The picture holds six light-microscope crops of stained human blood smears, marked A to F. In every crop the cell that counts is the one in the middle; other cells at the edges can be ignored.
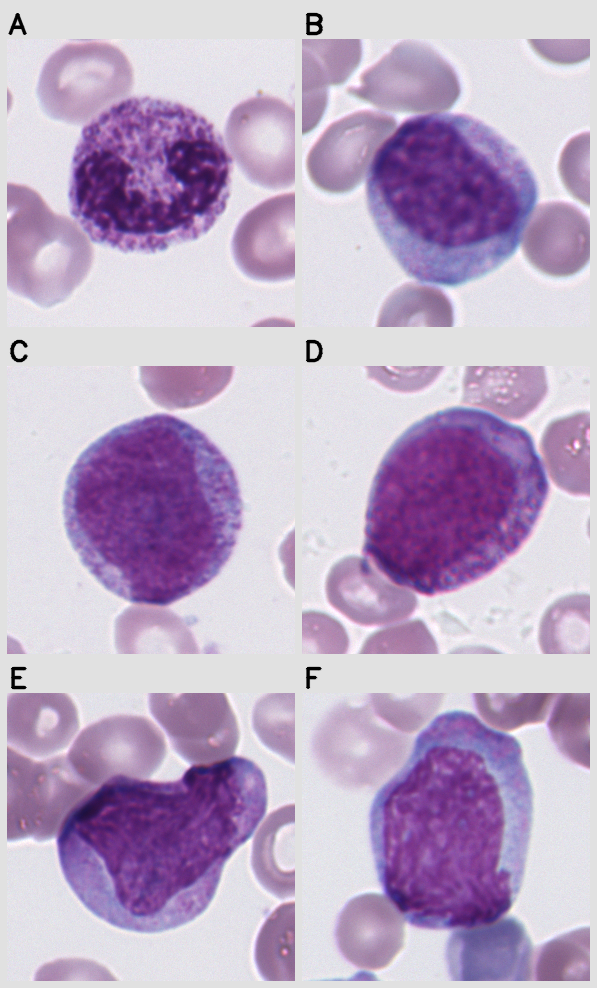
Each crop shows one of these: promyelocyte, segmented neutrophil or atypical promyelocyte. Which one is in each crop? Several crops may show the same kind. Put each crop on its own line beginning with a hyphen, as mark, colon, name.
- A: segmented neutrophil
- B: promyelocyte
- C: promyelocyte
- D: promyelocyte
- E: atypical promyelocyte
- F: atypical promyelocyte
